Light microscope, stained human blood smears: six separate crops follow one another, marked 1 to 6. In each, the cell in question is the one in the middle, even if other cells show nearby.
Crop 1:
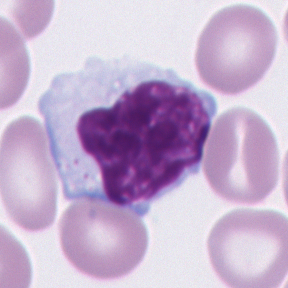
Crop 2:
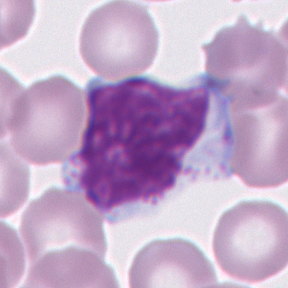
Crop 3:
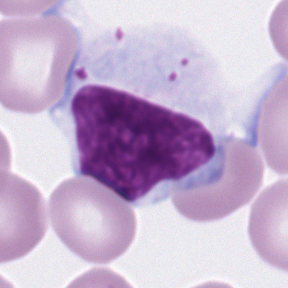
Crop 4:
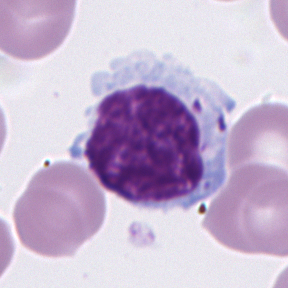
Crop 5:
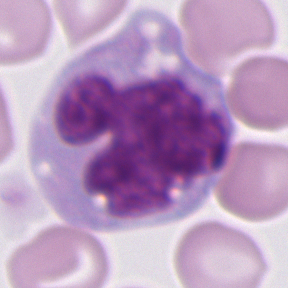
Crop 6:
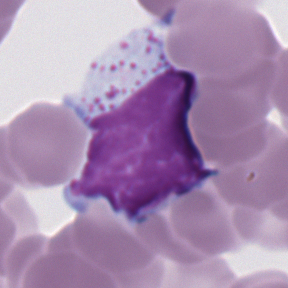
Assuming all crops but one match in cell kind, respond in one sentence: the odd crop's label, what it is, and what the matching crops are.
Here the outlier is crop 5, which is a monocyte, and the rest are large granular lymphocytes.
